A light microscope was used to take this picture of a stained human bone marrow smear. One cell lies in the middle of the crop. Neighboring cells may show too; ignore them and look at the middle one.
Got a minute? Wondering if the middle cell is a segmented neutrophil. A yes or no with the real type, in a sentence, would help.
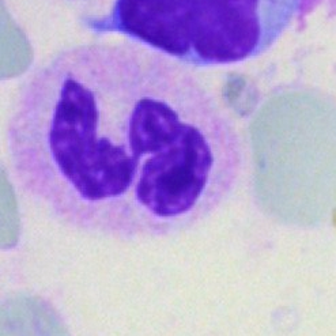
Yes, a segmented neutrophil occupies the middle of the crop.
